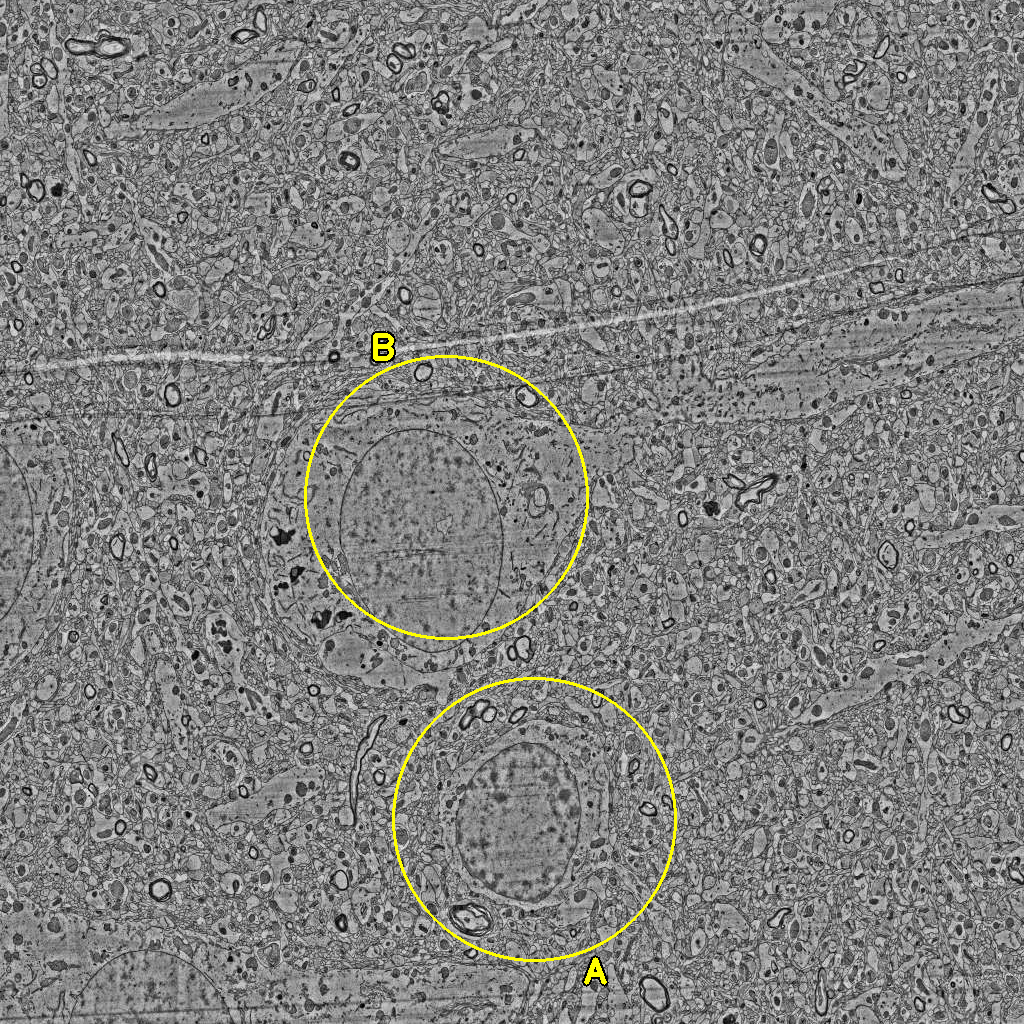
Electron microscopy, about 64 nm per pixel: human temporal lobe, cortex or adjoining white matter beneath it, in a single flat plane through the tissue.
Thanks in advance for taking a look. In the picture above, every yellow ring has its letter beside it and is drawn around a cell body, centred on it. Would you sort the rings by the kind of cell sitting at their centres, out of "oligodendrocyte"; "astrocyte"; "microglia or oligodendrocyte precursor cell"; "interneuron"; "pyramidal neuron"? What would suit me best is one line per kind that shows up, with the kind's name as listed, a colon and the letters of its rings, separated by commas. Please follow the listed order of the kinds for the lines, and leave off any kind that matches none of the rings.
interneuron: A
pyramidal neuron: B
